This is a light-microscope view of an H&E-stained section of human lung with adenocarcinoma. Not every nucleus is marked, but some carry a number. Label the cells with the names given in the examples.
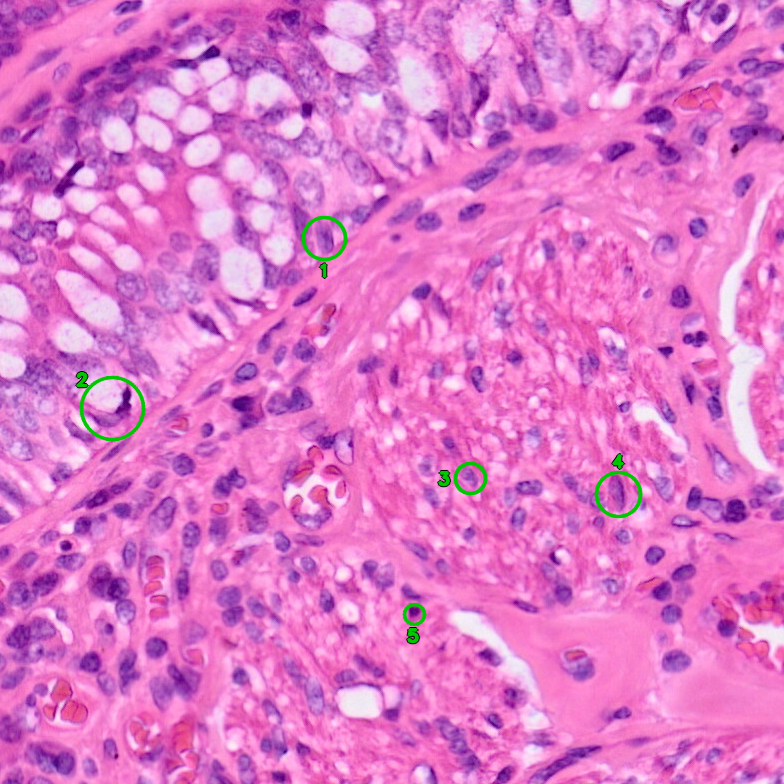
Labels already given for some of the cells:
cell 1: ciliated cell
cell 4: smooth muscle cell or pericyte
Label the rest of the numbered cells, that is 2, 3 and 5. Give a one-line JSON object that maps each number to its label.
{"2": "ciliated cell", "3": "smooth muscle cell or pericyte", "5": "smooth muscle cell or pericyte"}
